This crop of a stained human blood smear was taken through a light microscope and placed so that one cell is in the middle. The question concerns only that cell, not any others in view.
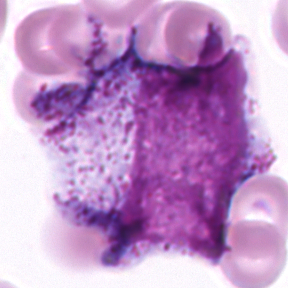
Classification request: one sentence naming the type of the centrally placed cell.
The cell centred in this crop is categorized as a promyelocyte.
